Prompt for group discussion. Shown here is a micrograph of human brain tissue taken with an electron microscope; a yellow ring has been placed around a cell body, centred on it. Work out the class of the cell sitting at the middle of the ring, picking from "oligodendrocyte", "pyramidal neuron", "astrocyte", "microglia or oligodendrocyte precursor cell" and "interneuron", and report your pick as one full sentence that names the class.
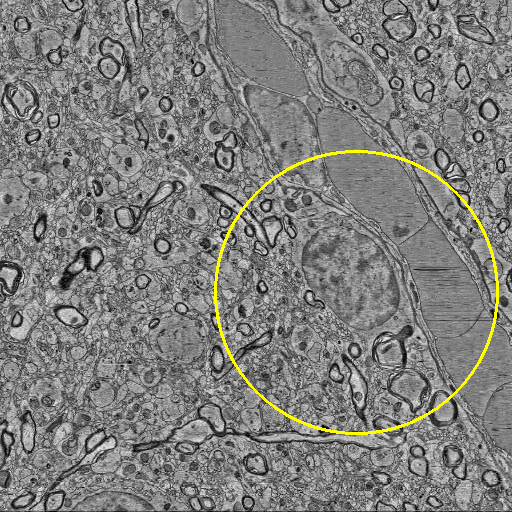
The cell sitting at the middle of the yellow ring is an oligodendrocyte.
